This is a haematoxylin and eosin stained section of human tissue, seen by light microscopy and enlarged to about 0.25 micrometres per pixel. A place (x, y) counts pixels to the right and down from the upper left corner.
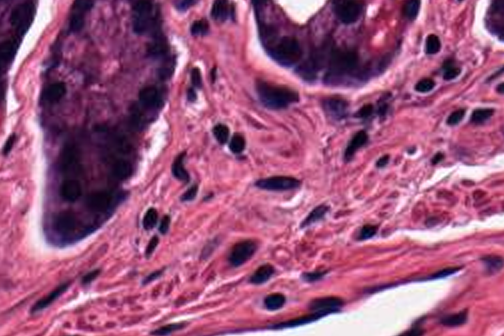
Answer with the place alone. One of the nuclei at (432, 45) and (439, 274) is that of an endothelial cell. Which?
(439, 274)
